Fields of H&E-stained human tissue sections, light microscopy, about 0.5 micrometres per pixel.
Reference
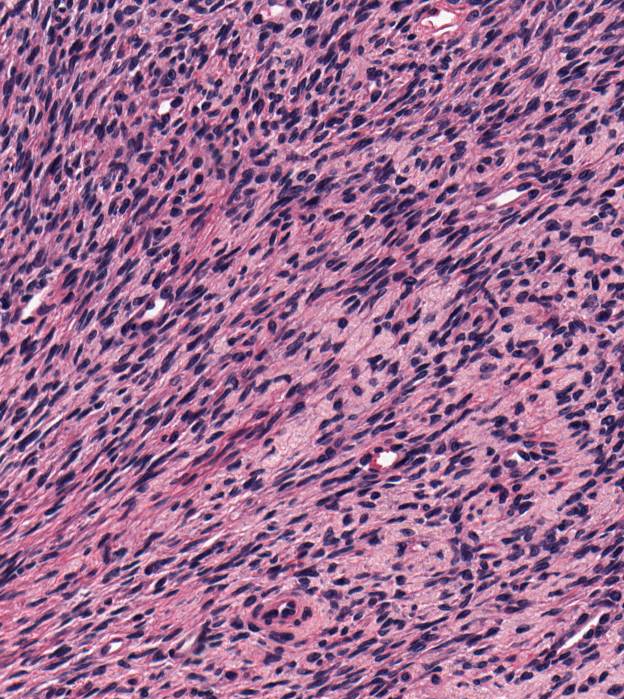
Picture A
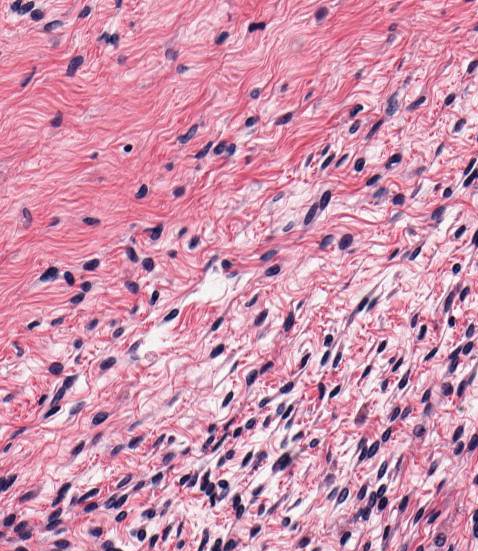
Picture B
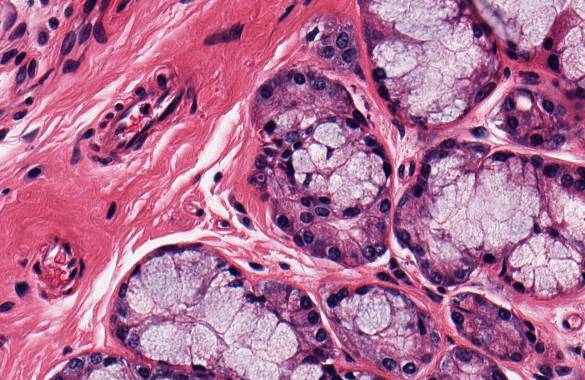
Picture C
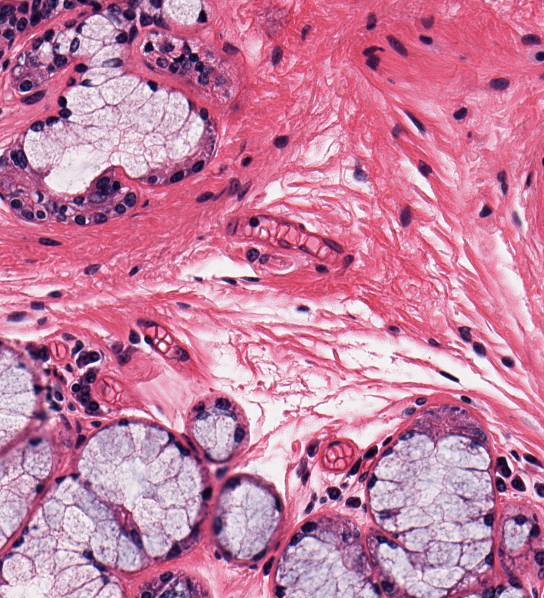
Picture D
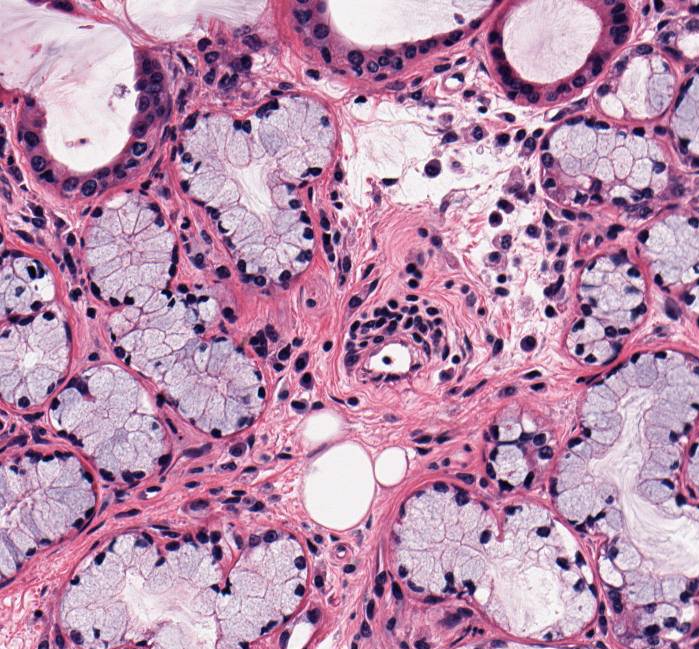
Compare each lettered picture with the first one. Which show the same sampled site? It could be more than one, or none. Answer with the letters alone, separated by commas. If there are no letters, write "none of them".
A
